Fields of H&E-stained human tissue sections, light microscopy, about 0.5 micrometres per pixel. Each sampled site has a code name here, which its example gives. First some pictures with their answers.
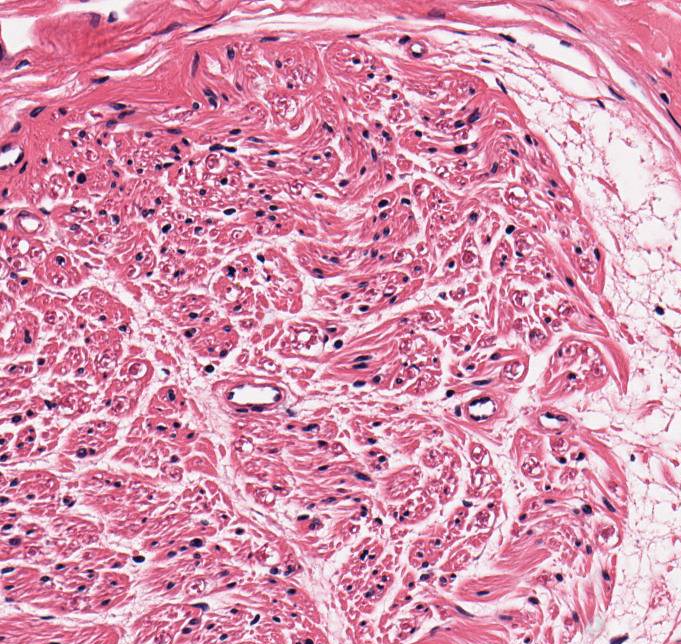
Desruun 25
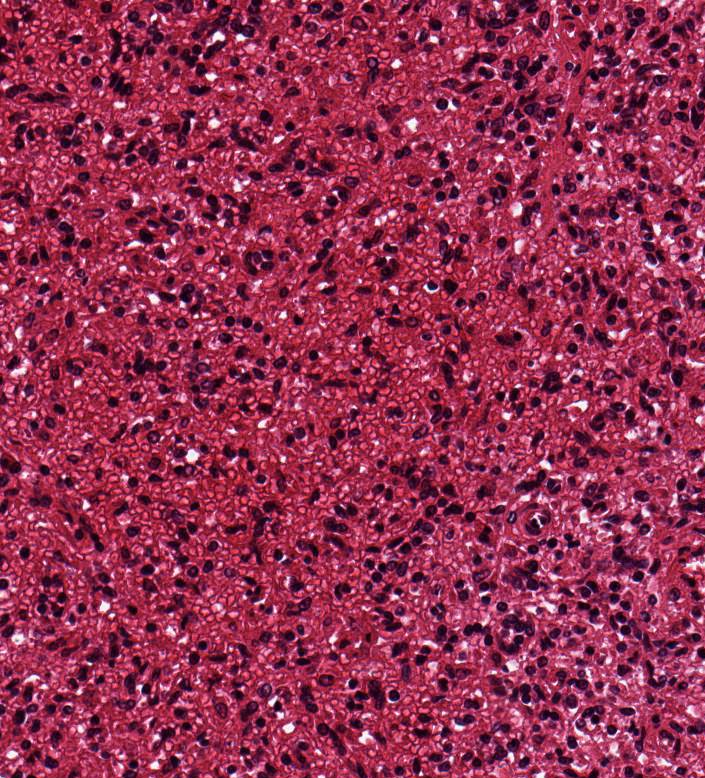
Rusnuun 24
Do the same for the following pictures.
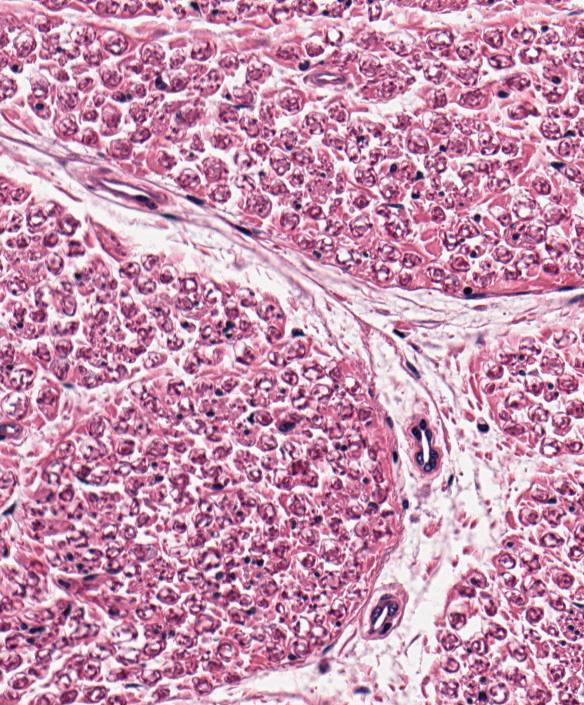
Desruun 25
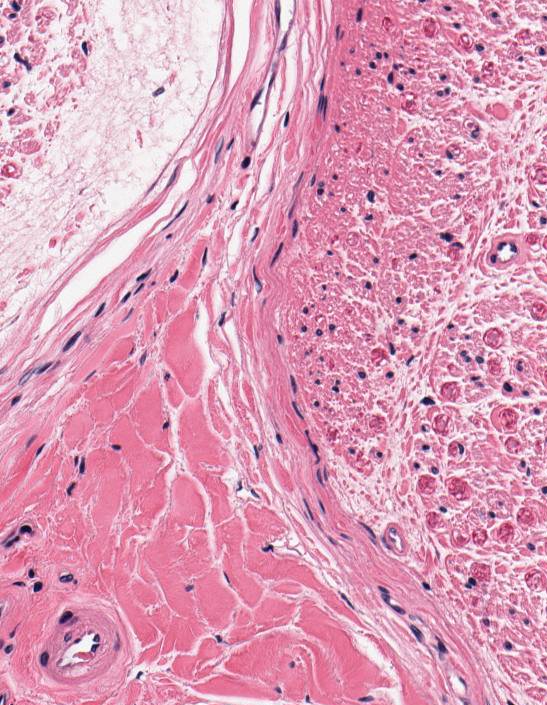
Desruun 25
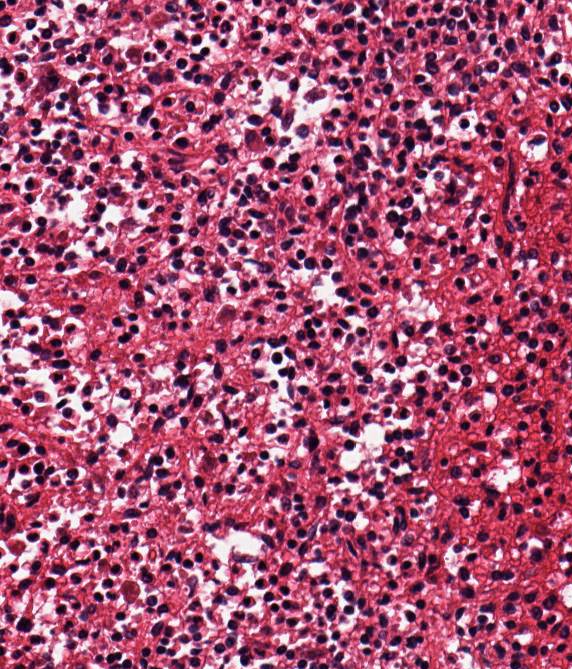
Rusnuun 24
